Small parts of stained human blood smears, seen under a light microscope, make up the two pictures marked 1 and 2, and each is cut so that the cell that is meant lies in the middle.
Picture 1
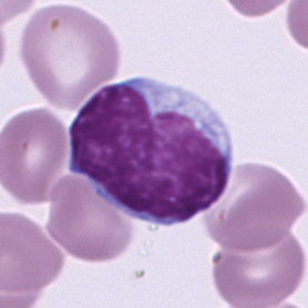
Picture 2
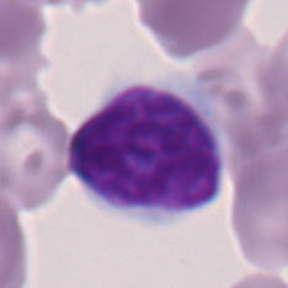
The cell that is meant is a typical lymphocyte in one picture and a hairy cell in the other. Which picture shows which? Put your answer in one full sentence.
It is picture 1 that shows a typical lymphocyte, and picture 2 that shows a hairy cell.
